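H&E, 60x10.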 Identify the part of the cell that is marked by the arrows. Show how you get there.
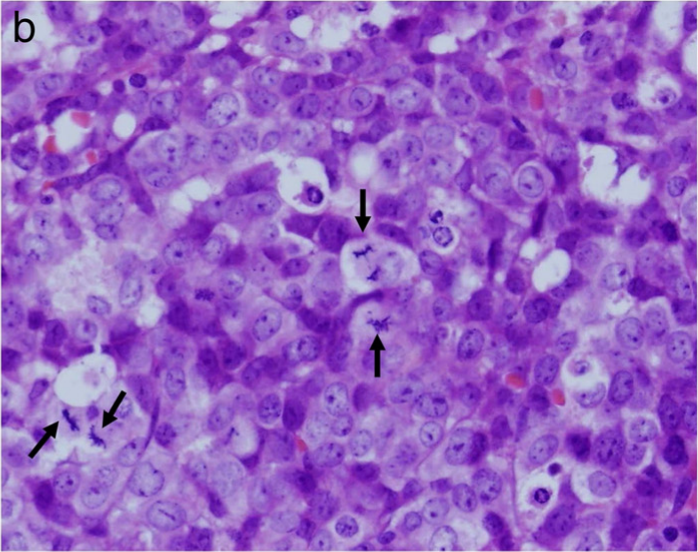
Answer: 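The arrows point to dark, irregular clumps of condensed chromatin without a nuclear membrane. Each clump sits within a cell with clear surrounding cytoplasm.
Mitotic figures.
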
